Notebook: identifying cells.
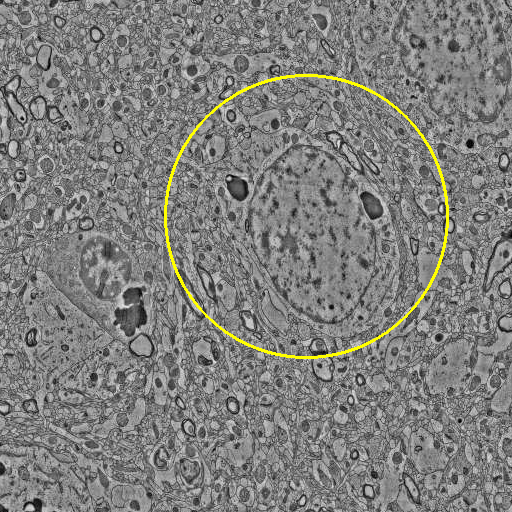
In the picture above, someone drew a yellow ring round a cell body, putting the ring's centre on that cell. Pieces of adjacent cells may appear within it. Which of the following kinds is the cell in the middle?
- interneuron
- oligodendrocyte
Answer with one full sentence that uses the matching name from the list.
In this picture, the yellow ring is centred on the body of an interneuron.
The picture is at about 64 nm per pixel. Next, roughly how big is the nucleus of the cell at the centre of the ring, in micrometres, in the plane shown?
Roughly 12 by 8 micrometres is the size of the nucleus in this plane.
